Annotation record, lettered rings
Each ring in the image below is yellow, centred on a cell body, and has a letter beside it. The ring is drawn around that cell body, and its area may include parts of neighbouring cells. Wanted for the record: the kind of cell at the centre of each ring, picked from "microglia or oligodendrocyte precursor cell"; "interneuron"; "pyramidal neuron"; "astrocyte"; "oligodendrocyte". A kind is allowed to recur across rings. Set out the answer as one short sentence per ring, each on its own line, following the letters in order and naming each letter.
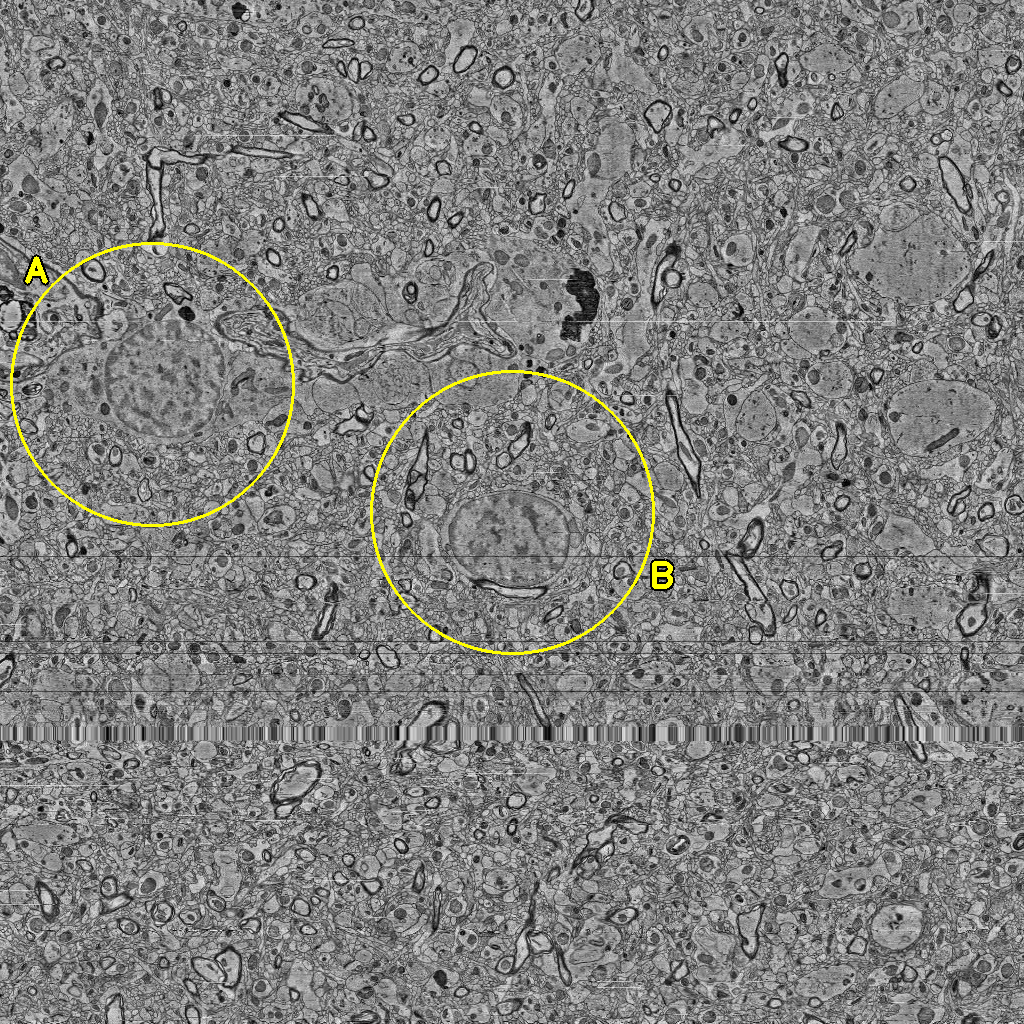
Ring A was drawn on an oligodendrocyte.
Ring B was drawn on an oligodendrocyte.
